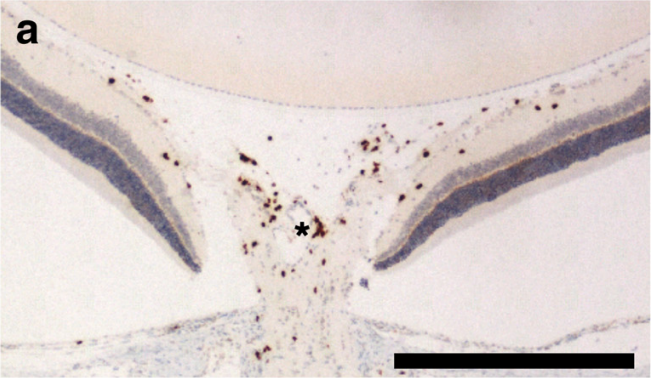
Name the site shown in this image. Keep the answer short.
Papilla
